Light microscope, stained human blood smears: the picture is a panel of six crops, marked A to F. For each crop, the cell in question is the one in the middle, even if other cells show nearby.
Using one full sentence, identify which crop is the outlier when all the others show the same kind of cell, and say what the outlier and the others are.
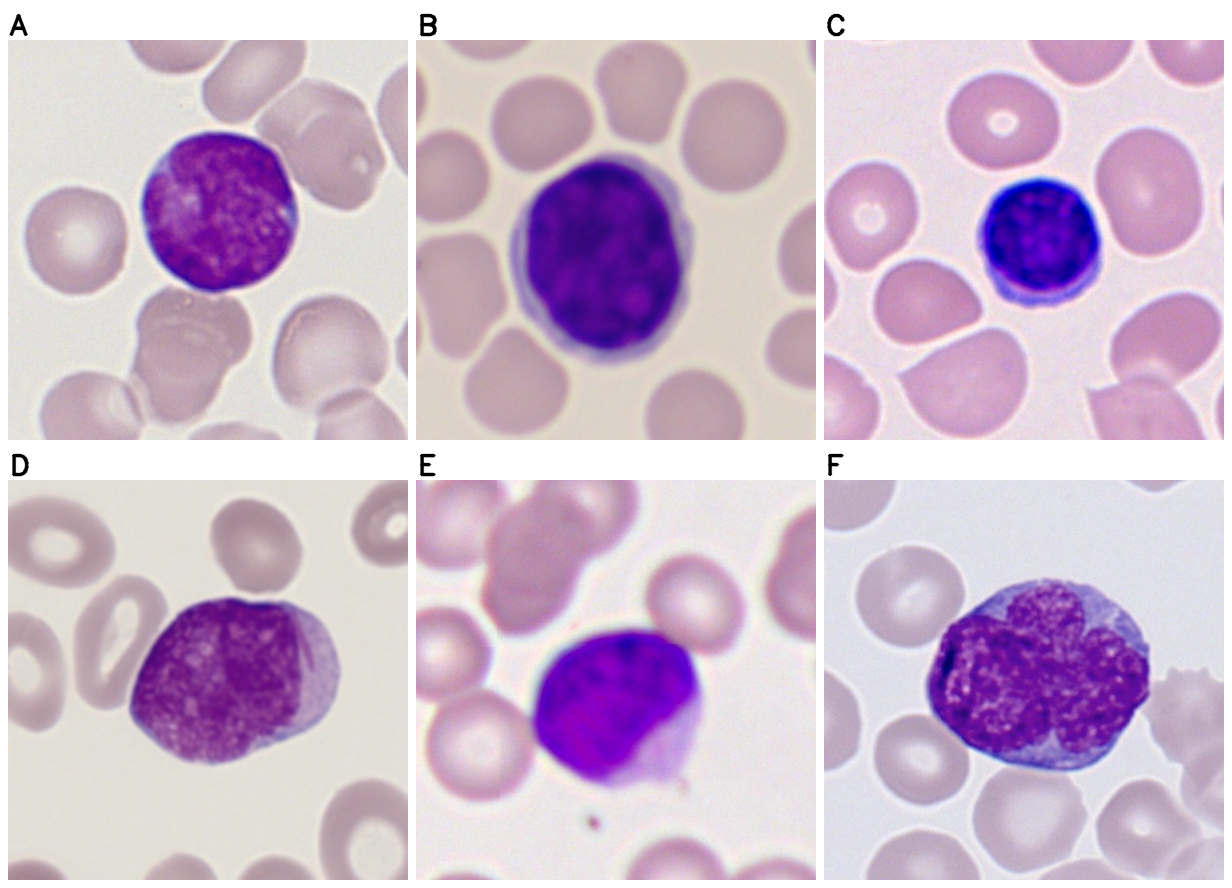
The different one is crop C, which is a lymphocyte; the rest all show myeloblasts.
